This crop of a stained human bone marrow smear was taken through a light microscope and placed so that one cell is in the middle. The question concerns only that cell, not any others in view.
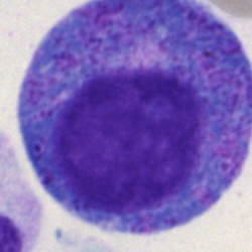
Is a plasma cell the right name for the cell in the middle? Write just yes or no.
no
